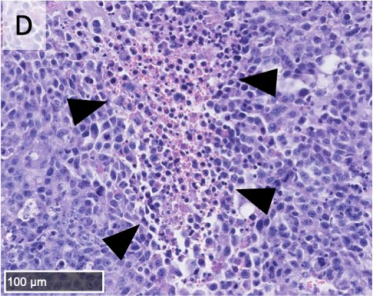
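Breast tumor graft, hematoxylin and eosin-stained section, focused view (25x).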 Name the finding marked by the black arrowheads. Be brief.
Coagulative necrosis.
